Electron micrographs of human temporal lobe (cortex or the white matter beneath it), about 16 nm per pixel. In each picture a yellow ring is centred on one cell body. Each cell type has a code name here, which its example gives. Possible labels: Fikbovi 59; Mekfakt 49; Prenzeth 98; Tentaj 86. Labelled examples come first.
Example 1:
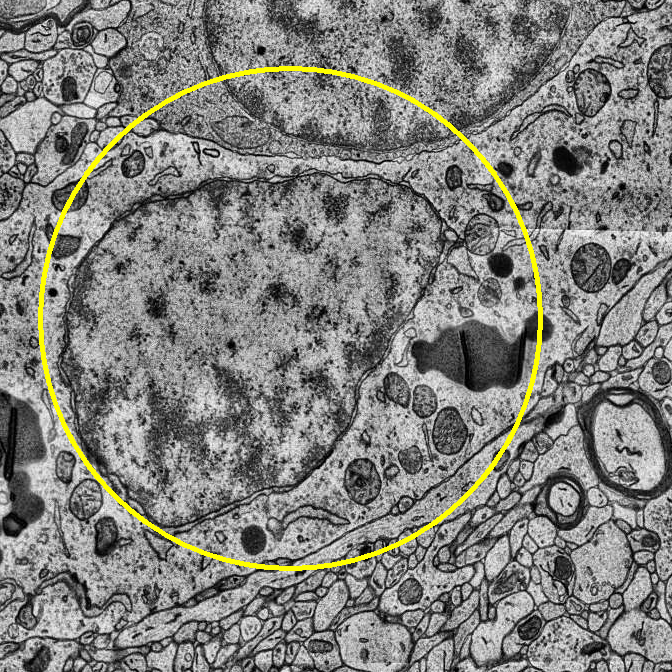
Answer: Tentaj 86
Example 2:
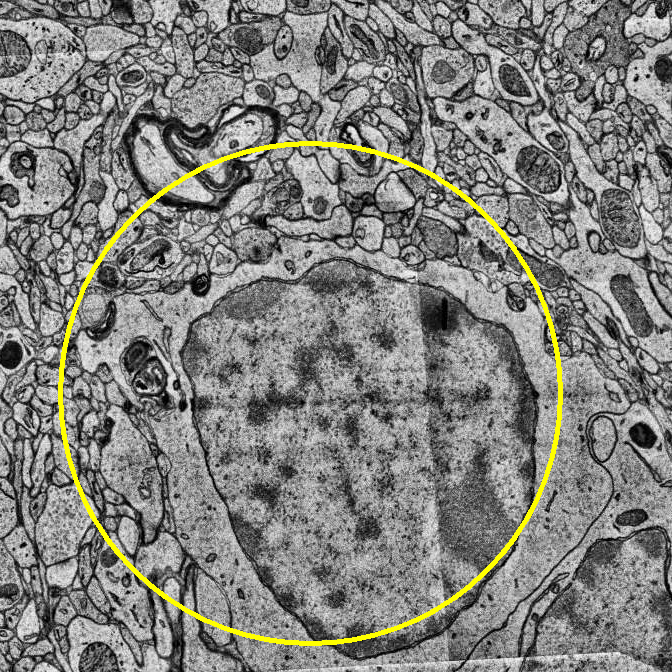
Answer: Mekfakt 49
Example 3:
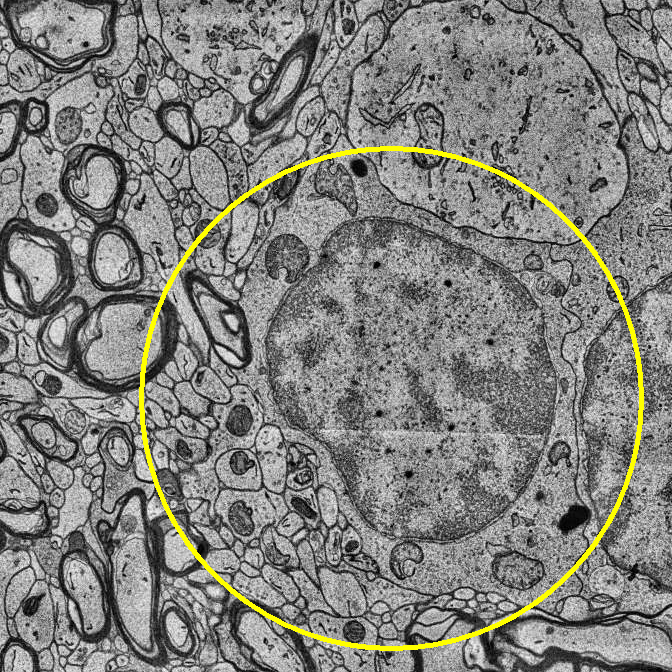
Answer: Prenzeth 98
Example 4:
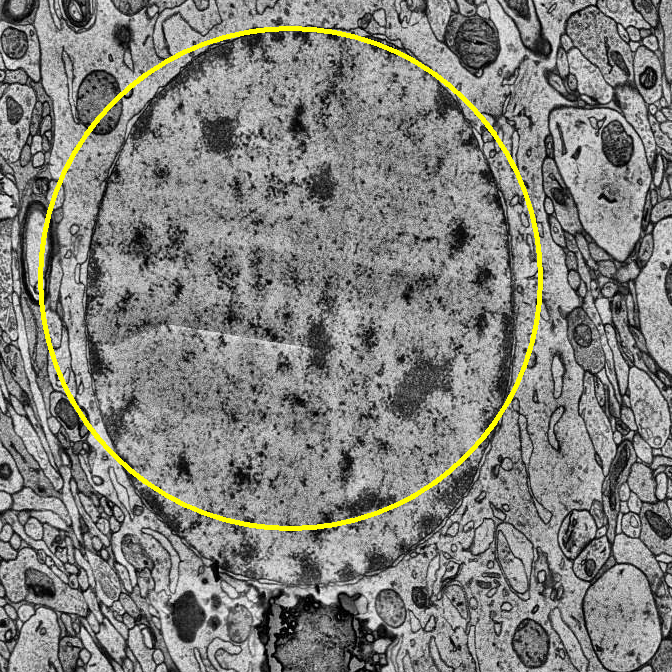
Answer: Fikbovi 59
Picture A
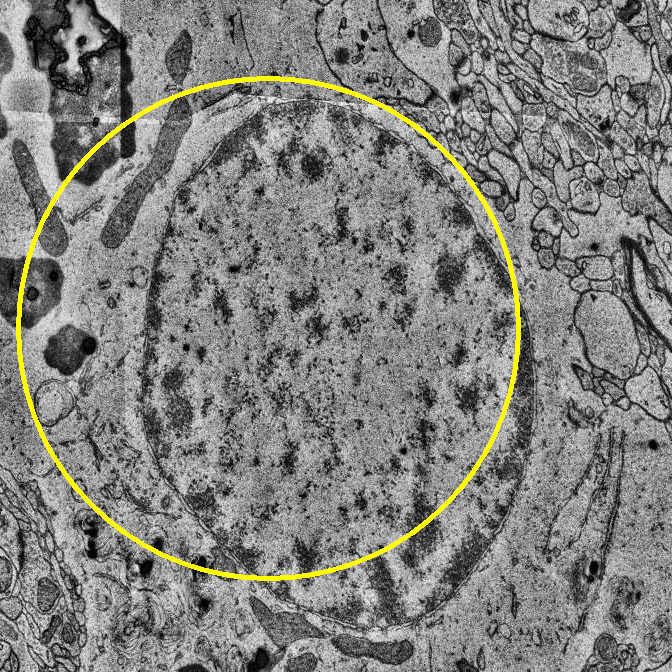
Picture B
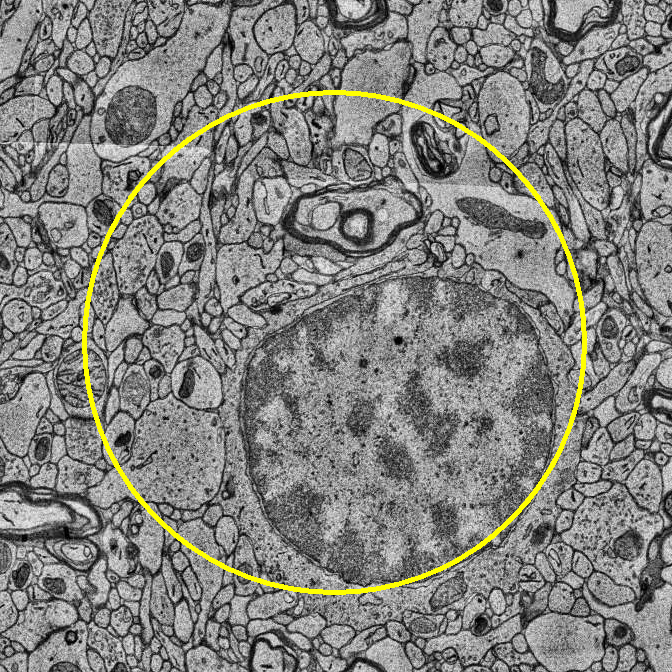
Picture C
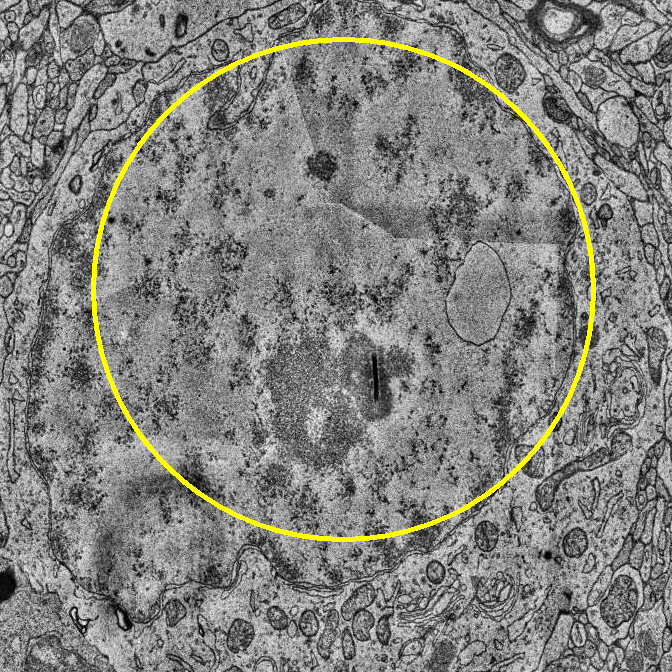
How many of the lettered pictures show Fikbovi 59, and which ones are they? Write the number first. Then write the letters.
1, namely A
